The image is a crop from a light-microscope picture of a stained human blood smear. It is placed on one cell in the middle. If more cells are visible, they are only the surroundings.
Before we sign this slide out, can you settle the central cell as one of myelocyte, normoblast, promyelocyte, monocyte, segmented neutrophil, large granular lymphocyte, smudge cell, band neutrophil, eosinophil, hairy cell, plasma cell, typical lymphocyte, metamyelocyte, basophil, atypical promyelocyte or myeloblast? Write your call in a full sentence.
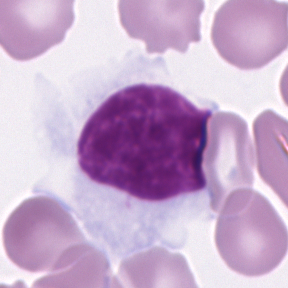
The single cell at the center of the crop is a hairy cell.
